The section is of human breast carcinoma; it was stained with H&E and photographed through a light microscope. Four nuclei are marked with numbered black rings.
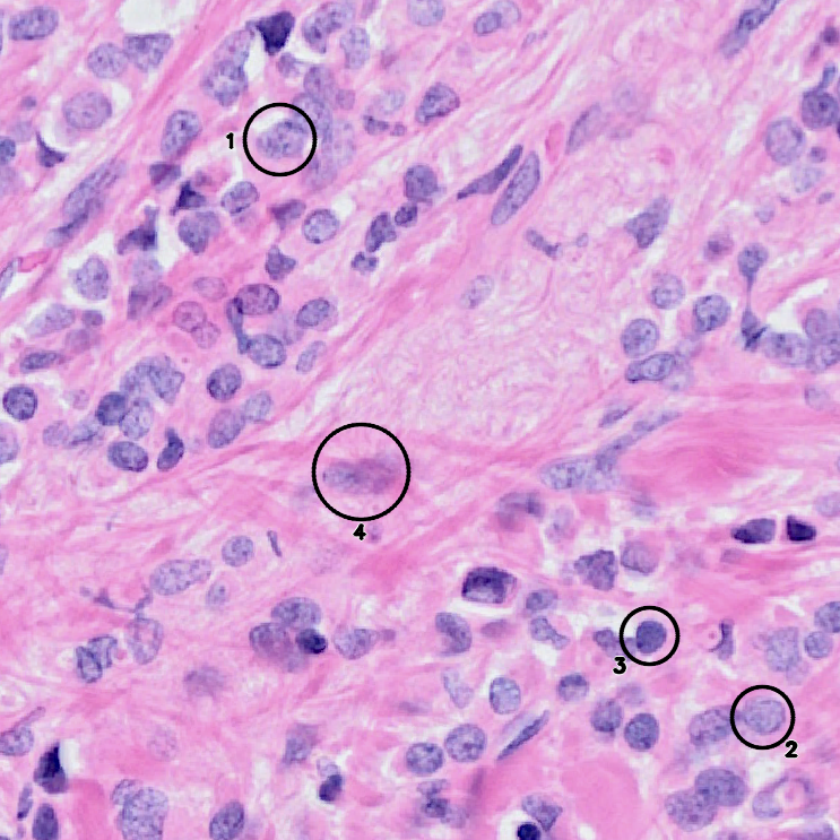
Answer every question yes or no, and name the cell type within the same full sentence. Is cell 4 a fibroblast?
Yes, within this section, cell number 4 is a fibroblast.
